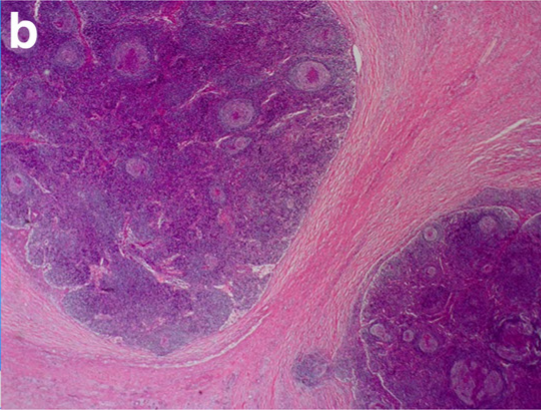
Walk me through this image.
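At low magnification this is lymphoid tissue divided by collagenous fibrous tissue. Large, dark purple nodules of densely packed cells fill most of the field. Within them many small round follicles with pale centres are scattered fairly evenly. A broad band of pink, wavy, sparsely cellular collagen runs diagonally between two of the lymphoid nodules.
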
